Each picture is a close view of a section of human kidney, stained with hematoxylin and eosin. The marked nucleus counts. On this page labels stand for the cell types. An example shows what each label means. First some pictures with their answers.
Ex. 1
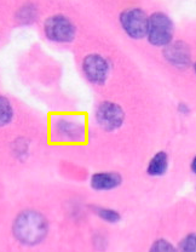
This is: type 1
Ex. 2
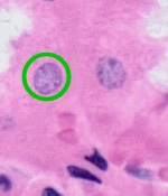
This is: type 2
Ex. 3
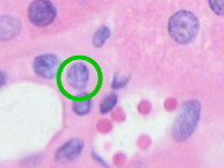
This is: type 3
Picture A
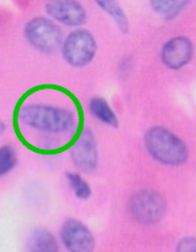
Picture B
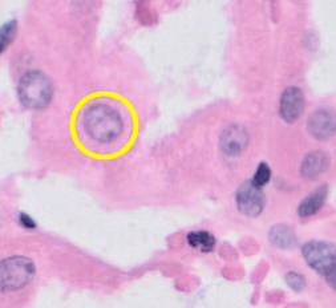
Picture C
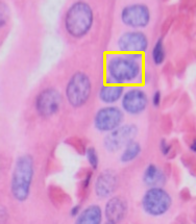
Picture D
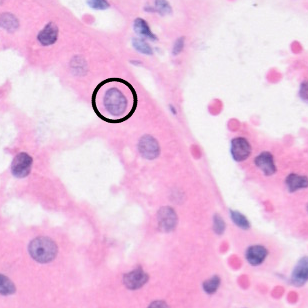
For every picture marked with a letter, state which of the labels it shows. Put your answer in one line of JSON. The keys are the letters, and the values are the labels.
{"A": "type 3", "B": "type 2", "C": "type 3", "D": "type 2"}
